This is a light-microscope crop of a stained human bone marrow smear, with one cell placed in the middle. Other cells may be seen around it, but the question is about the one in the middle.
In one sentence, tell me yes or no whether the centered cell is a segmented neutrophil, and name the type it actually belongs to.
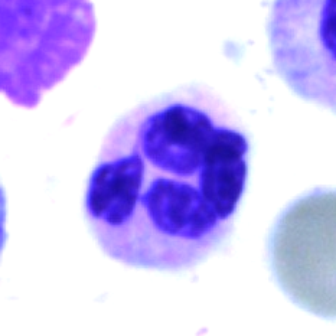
Yes, the cell positioned at the centre of the crop is a segmented neutrophil.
